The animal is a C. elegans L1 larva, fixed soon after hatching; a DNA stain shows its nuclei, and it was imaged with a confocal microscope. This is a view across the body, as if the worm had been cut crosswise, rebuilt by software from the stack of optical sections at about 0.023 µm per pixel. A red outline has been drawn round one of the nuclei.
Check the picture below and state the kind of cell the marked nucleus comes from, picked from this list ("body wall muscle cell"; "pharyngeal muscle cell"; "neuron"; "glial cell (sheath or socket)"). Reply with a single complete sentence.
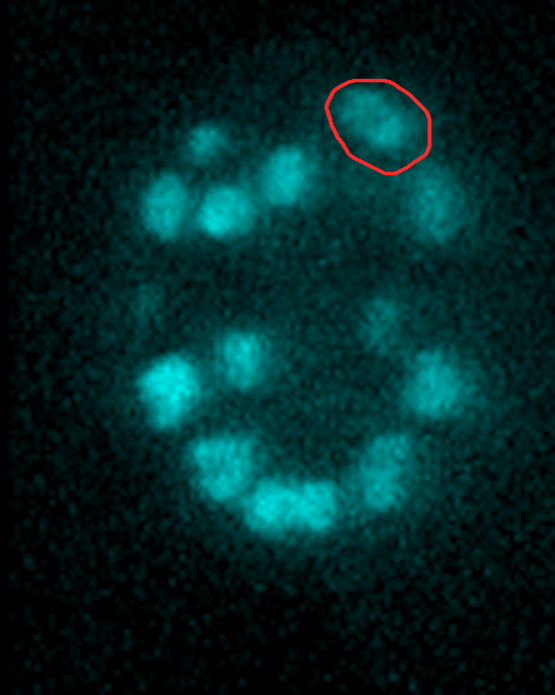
What is marked is the nucleus of a body wall muscle cell.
